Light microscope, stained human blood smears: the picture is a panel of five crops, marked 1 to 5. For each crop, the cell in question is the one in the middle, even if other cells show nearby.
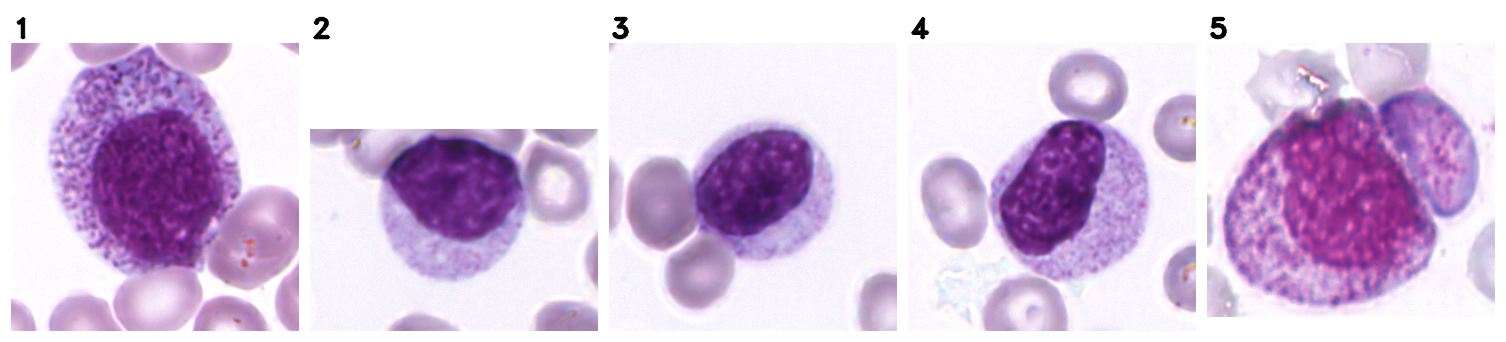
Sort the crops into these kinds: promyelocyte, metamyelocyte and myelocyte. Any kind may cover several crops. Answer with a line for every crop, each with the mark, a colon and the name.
1: promyelocyte
2: myelocyte
3: metamyelocyte
4: metamyelocyte
5: myelocyte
